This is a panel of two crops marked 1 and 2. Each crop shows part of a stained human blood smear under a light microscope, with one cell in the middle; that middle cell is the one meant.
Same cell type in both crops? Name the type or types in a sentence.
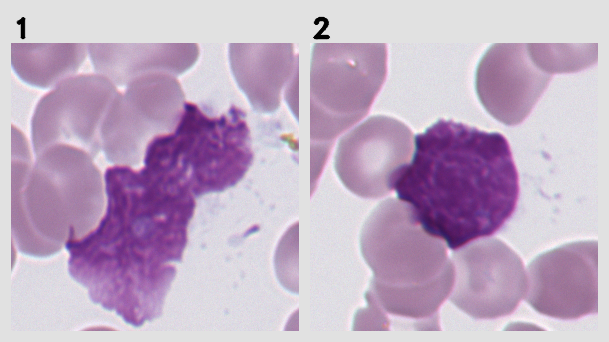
Yes, both crops have smudge cells at the centre.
